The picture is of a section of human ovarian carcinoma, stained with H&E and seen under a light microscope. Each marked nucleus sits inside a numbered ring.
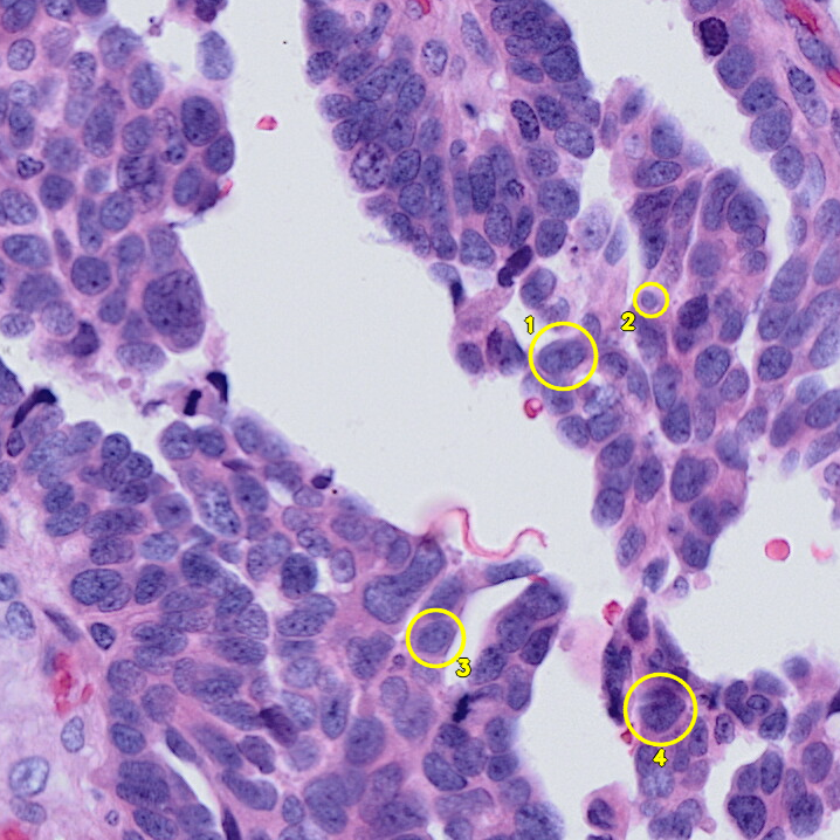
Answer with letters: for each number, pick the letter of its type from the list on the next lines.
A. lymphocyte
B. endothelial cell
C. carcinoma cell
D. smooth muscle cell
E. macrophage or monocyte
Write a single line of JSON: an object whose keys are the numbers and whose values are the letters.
{"1": "C", "2": "E", "3": "C", "4": "C"}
